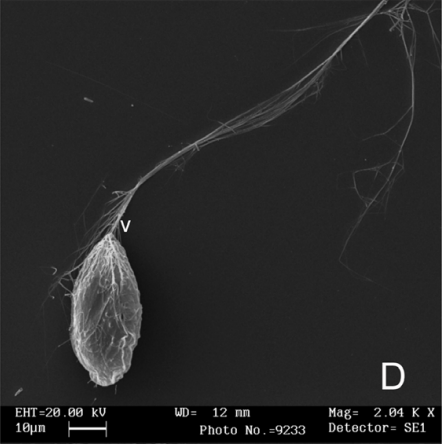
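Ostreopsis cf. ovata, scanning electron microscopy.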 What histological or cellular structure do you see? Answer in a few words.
several thinner filaments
